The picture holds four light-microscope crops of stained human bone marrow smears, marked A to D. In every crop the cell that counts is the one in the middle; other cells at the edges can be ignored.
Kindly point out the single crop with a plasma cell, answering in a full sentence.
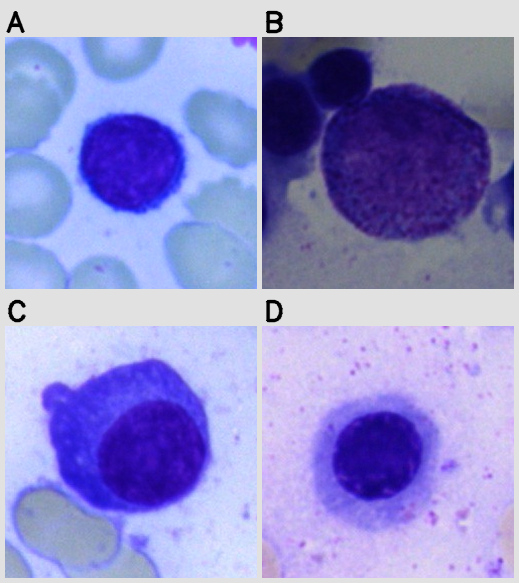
Crop C is where a plasma cell is to be found.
